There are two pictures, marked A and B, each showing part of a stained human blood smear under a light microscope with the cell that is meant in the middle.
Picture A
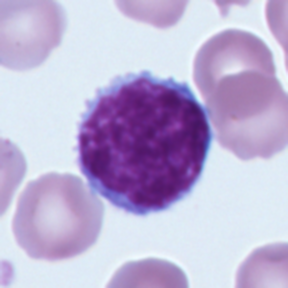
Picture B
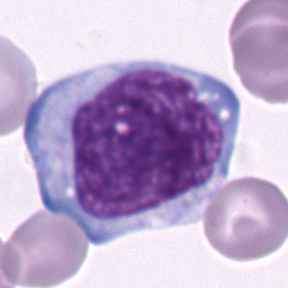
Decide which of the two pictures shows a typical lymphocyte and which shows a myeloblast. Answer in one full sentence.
Picture A is of a typical lymphocyte, and picture B is of a myeloblast.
